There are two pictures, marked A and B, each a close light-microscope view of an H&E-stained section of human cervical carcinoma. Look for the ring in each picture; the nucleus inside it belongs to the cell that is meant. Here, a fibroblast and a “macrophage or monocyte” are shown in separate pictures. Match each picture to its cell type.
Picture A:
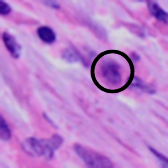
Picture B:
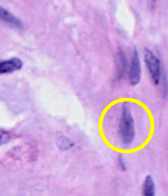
A: macrophage or monocyte
B: fibroblast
